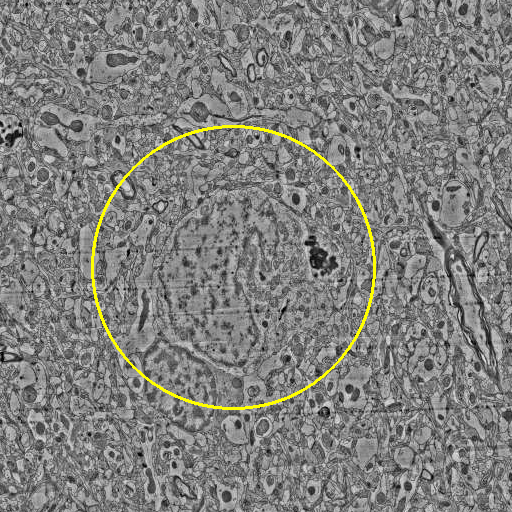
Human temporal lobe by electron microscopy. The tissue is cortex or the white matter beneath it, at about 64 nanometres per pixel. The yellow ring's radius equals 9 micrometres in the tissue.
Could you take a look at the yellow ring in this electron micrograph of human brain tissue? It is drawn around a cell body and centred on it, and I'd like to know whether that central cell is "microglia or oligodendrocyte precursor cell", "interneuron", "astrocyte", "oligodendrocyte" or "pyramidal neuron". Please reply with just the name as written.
interneuron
